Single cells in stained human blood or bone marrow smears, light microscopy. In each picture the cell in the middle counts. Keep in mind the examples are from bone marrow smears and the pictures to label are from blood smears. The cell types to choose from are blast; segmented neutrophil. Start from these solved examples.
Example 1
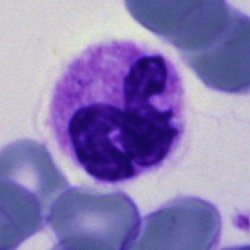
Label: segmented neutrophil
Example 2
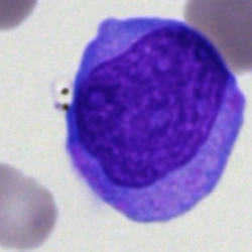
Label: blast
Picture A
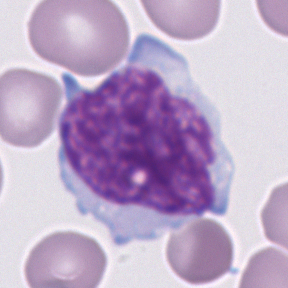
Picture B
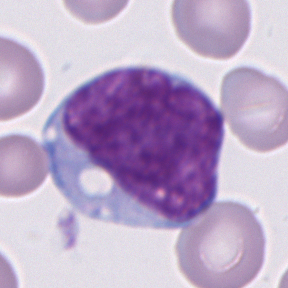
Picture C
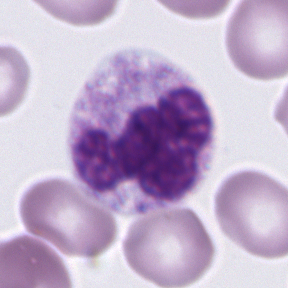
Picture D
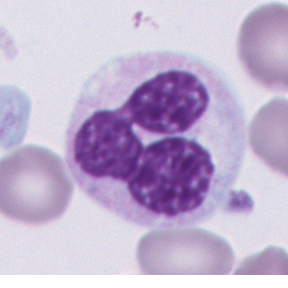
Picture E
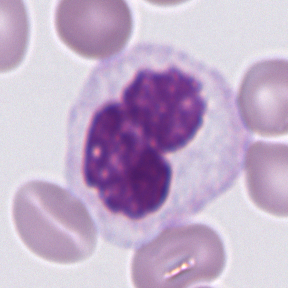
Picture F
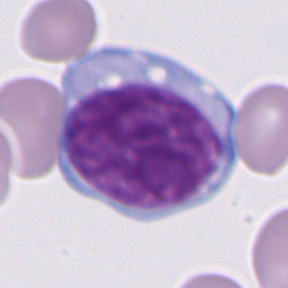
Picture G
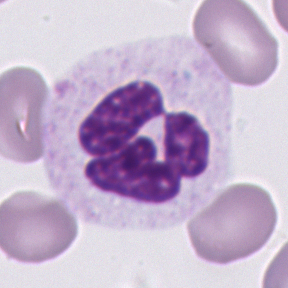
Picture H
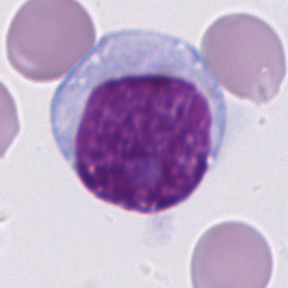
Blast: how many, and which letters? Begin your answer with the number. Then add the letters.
Count: 4 (A, B, F, H)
